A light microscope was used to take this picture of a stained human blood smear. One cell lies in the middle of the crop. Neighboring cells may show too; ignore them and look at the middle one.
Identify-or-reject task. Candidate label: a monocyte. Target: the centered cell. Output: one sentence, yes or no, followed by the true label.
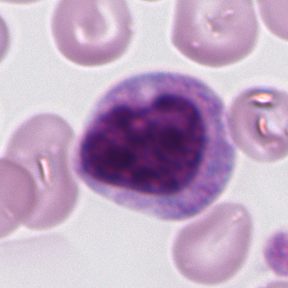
No, the cell under consideration is a metamyelocyte instead of a monocyte.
